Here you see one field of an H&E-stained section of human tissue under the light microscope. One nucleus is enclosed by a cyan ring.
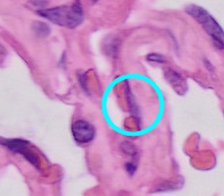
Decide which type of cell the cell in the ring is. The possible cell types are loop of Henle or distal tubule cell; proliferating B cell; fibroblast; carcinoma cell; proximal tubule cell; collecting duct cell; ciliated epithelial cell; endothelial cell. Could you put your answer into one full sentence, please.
As for its identity, the cell in the ring is an endothelial cell.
